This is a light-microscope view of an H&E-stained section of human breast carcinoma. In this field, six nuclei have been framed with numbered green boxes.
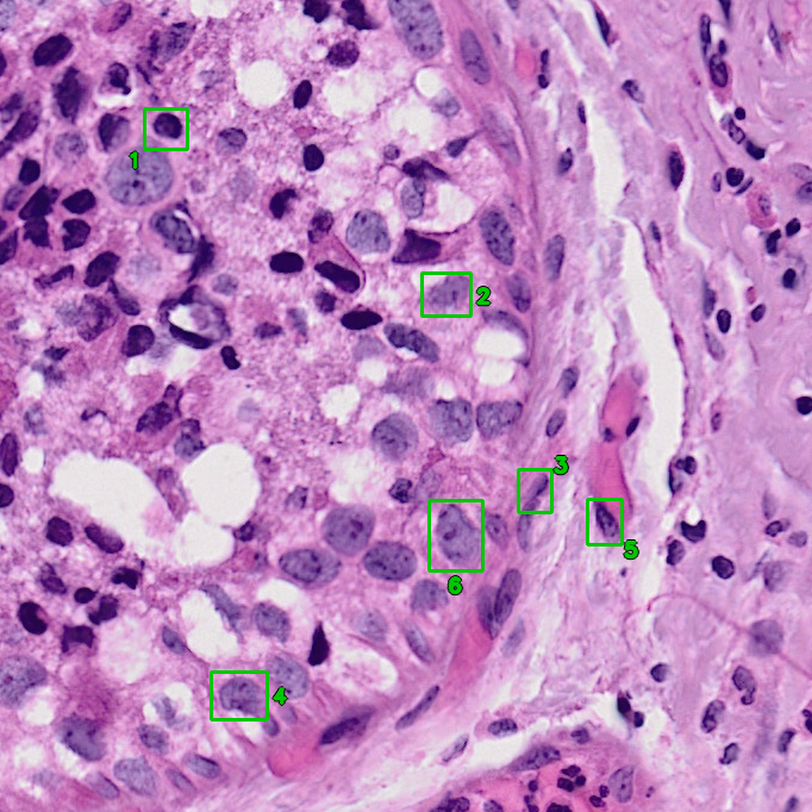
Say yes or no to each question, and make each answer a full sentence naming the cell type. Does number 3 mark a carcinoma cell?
No, number 3 identifies an endothelial cell, not a carcinoma cell.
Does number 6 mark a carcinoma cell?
Yes, the cell corresponding to number 6 is a carcinoma cell.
